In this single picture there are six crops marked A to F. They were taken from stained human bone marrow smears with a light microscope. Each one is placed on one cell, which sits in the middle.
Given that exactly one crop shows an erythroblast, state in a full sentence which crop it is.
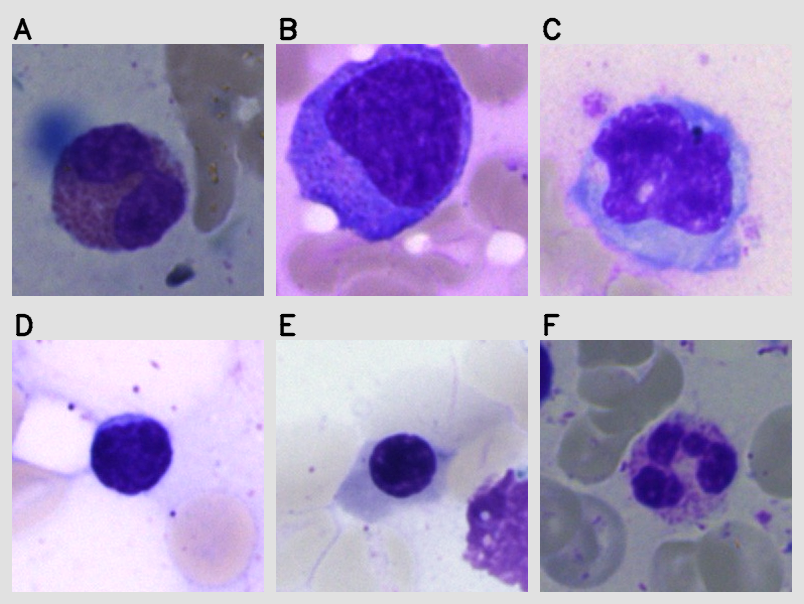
Crop E is where an erythroblast is to be found.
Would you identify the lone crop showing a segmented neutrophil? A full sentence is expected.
The one crop that shows a segmented neutrophil is crop F.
